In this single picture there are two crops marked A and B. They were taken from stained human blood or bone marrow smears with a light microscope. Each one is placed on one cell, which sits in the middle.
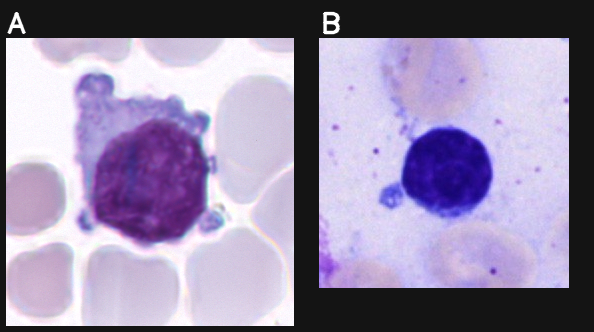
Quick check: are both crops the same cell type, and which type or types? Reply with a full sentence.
No, whereas crop A shows a plasma cell, crop B shows a lymphocyte.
